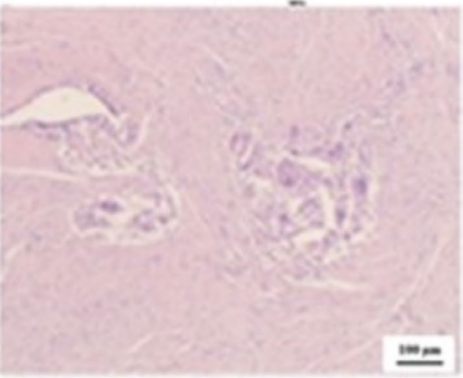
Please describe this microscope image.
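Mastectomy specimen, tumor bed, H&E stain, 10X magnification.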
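The stroma has a streaming, wavy texture and holds only a few scattered nuclei, as scar tissue does. Two small clusters of cells with purple nuclei sit within the fibrous tissue, and one has an empty cleft-like space beside it. No crowded sheets of tumour cells are seen.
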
